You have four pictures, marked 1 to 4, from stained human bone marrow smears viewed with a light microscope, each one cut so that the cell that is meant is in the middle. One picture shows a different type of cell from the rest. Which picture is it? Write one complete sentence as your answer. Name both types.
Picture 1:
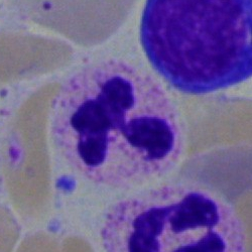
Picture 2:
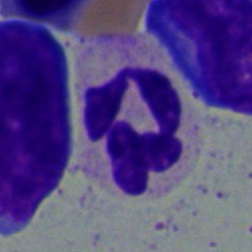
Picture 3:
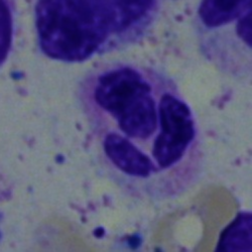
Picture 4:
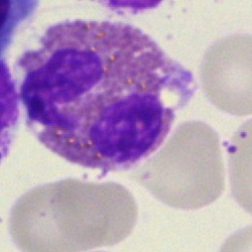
Unlike the rest, which show segmented neutrophils, picture 4 shows an eosinophil.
